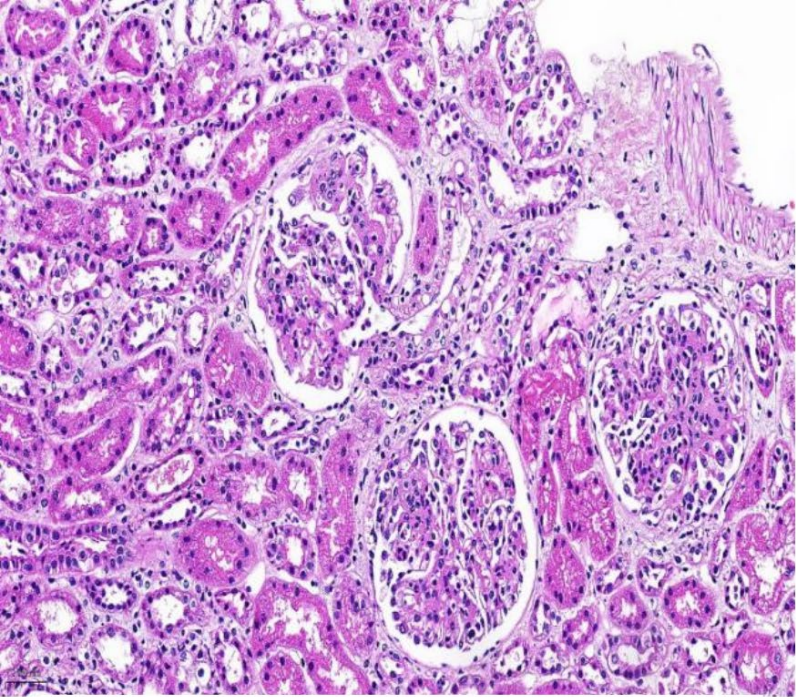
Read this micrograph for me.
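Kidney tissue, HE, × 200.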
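Renal cortex with several glomeruli lying among tubules. The glomerular tufts are hypercellular. Many dark purple nuclei crowd the capillary loops and the central stalk regions, so the tufts look dense compared with the open tubules around them. Each tuft sits within Bowman's capsule, separated from it by a clear urinary space. In places the tuft approaches or touches the capsule. The surrounding tubules are lined by cuboidal epithelium with pink, granular cytoplasm and round nuclei. The interstitium between them carries scattered nuclei.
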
